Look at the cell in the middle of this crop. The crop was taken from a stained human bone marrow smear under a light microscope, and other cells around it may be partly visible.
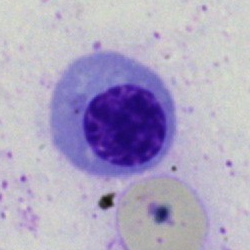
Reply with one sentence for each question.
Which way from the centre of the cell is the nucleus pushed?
The nucleus is pushed toward the lower right of the cell.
